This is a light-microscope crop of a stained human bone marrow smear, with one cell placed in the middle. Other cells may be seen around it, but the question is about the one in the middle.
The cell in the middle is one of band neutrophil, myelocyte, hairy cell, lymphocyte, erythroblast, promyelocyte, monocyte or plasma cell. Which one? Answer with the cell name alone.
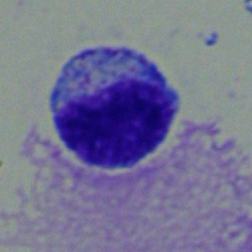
myelocyte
